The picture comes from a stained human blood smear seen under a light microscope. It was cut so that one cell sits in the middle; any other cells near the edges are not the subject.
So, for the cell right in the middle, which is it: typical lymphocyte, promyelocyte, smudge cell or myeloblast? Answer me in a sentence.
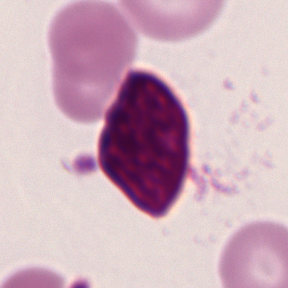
Here the cell in the middle is a smudge cell.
